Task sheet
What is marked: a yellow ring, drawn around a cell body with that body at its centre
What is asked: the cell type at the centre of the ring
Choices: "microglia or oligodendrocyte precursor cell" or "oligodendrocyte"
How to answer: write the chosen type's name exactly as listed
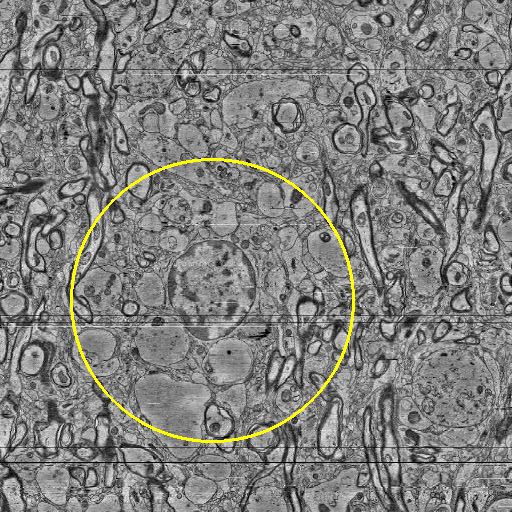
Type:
microglia or oligodendrocyte precursor cell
